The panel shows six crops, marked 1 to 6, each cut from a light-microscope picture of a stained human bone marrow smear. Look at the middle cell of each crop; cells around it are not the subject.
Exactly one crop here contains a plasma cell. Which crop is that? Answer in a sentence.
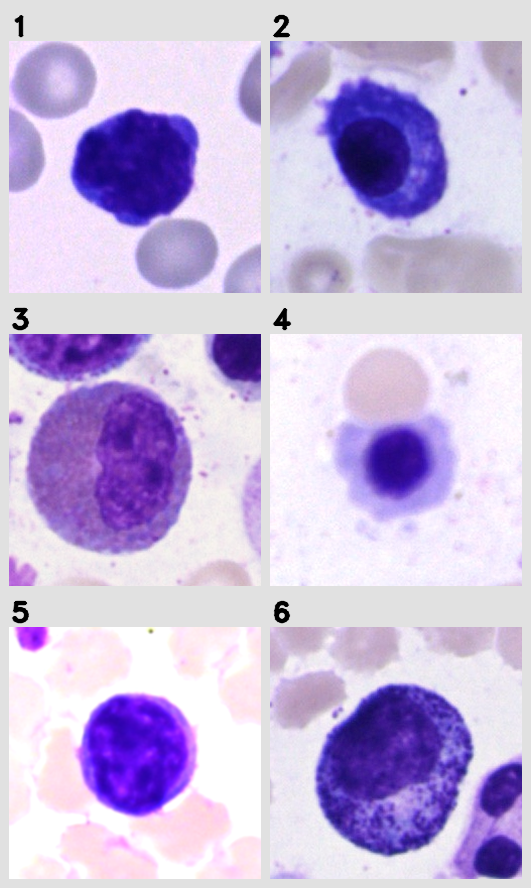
Among the crops given, only crop 2 shows a plasma cell.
